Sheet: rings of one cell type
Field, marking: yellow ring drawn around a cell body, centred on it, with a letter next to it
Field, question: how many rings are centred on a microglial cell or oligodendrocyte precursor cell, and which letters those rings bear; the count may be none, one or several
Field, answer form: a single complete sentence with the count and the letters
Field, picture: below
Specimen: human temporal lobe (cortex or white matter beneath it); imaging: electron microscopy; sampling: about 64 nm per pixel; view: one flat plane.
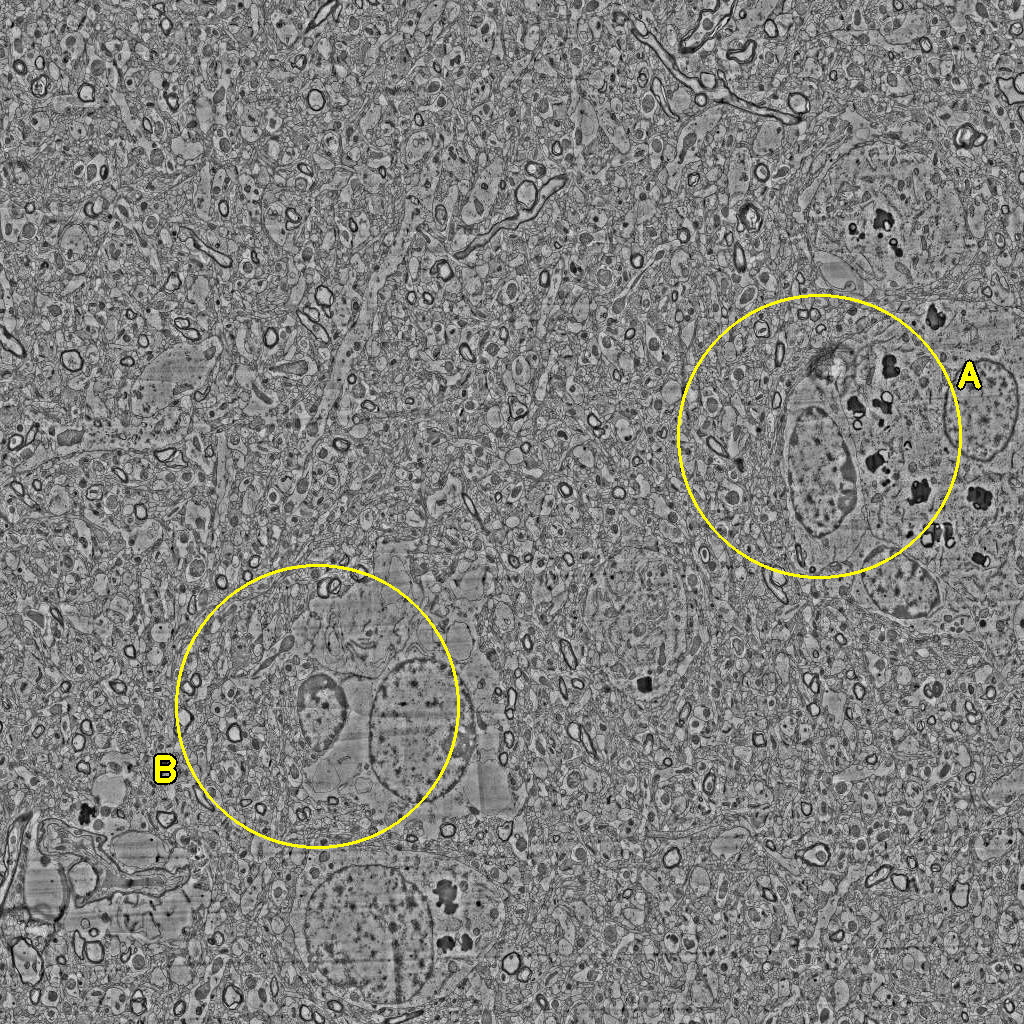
The two rings each centred on a microglial cell or oligodendrocyte precursor cell are identified by the letters A and B.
